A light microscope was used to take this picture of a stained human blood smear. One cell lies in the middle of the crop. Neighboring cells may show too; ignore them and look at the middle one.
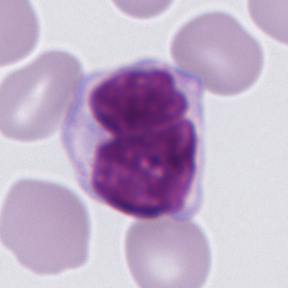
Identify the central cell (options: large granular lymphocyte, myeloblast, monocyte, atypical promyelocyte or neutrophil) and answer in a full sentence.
In the crop, the cell of interest at the centre is a large granular lymphocyte.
